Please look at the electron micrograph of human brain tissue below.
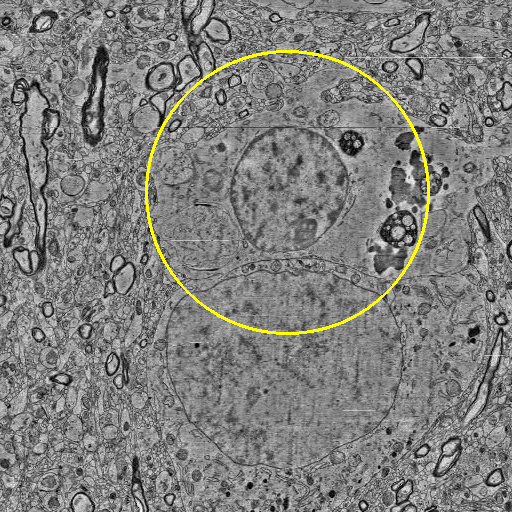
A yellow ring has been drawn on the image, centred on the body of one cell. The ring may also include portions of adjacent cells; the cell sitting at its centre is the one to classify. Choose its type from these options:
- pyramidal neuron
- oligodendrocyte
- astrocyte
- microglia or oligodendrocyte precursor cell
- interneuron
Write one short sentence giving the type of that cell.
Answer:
The cell in the middle of the ring is an astrocyte.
